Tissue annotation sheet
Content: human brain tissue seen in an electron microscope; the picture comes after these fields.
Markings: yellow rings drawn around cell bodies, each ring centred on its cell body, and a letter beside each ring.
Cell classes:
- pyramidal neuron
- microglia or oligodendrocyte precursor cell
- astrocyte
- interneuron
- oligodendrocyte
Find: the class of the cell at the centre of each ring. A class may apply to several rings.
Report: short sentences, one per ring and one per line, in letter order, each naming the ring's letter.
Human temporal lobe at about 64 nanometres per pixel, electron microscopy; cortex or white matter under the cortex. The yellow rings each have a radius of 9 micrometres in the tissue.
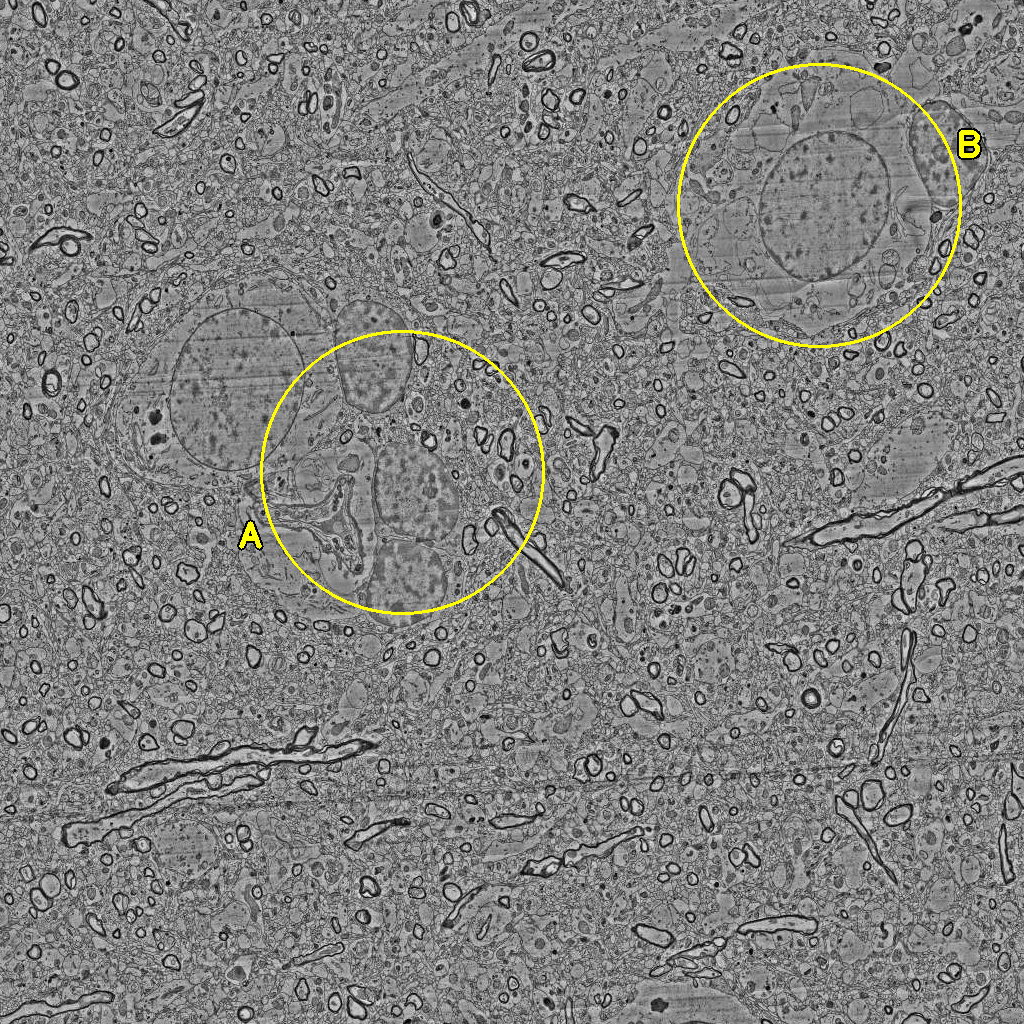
Ring A holds an oligodendrocyte at its centre.
Ring B holds an astrocyte at its centre.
